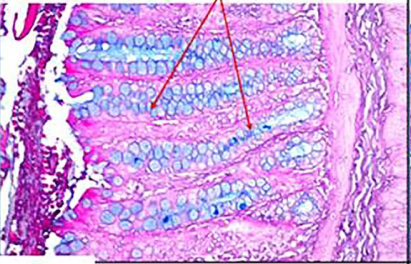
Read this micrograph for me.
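Colonic mucosa with long, parallel tubular crypts densely lined by goblet cells. The goblet cells appear as rounded, closely stacked vacuoles with pale-blue mucin content, arranged in columns along each crypt. Pink-stained lamina propria lies between the crypts, and a band of pink submucosal or muscular tissue runs along one edge. At the opposite edge, the luminal surface shows a strip of dark red material. Nuclei are small and inconspicuous between the blue vacuoles. The crypt arrangement is regular and the blue staining is abundant throughout.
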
